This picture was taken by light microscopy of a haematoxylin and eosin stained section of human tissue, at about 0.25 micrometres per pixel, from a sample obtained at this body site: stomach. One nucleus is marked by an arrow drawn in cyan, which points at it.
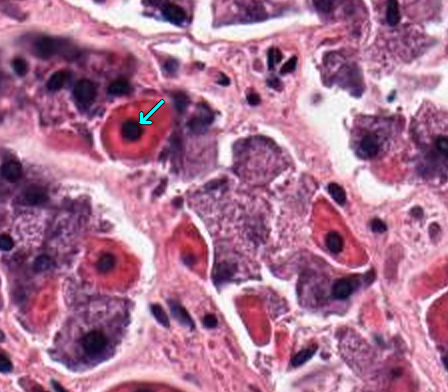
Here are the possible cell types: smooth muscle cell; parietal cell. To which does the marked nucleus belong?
parietal cell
